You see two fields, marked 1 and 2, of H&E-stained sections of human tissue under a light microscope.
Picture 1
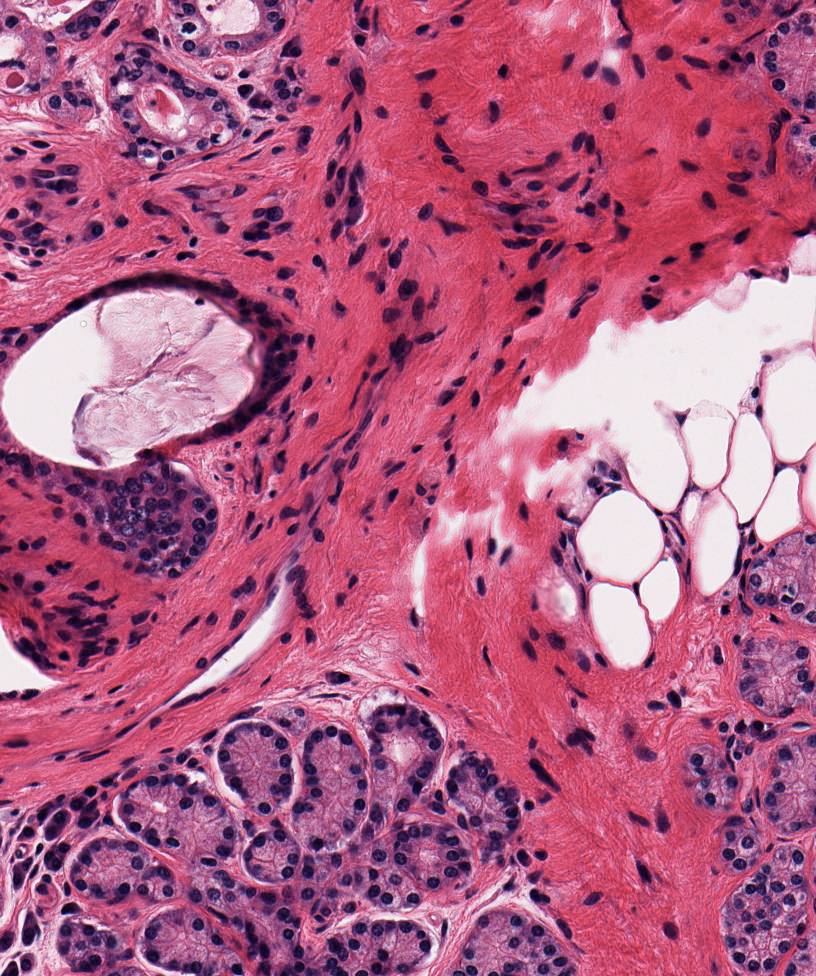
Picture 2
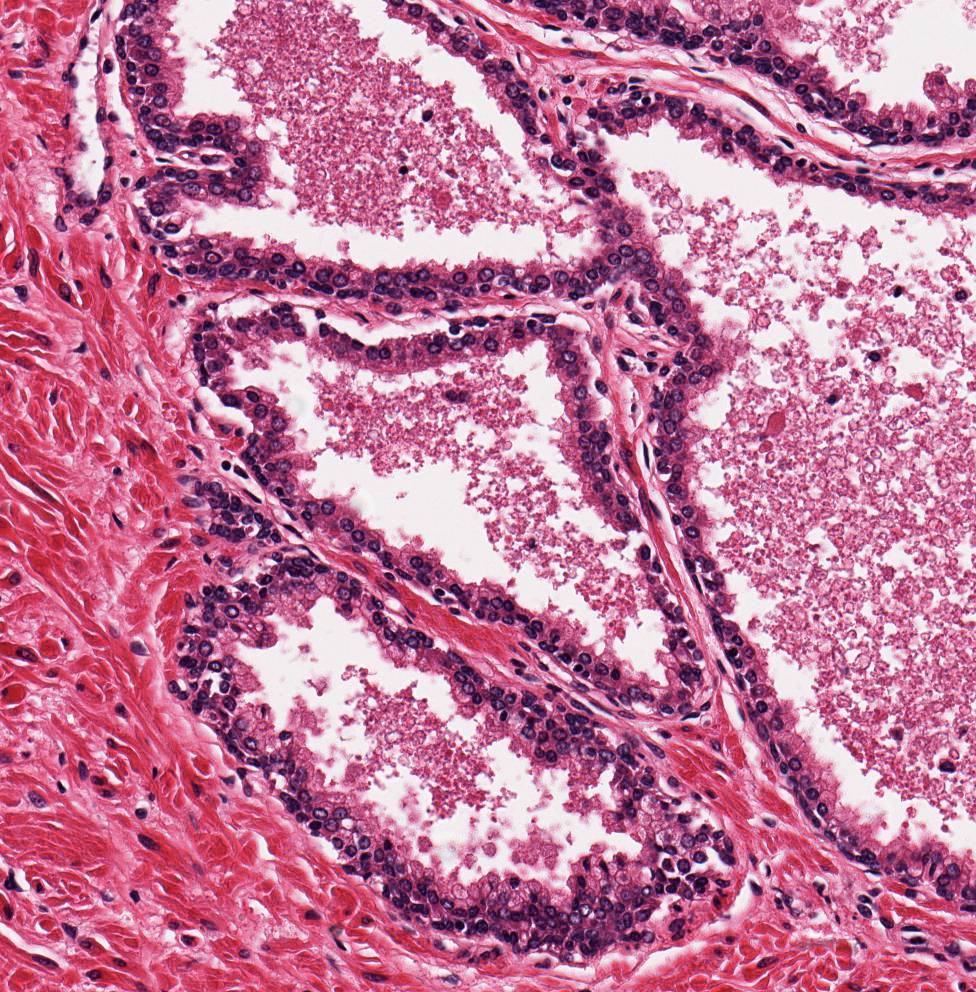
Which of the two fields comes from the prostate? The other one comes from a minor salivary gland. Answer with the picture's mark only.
2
